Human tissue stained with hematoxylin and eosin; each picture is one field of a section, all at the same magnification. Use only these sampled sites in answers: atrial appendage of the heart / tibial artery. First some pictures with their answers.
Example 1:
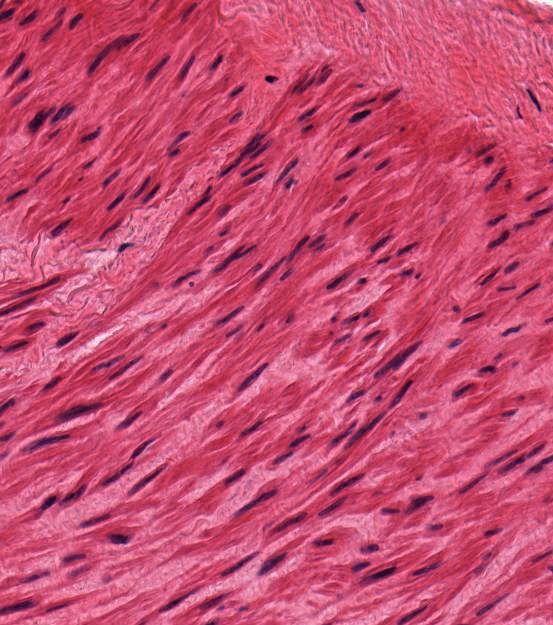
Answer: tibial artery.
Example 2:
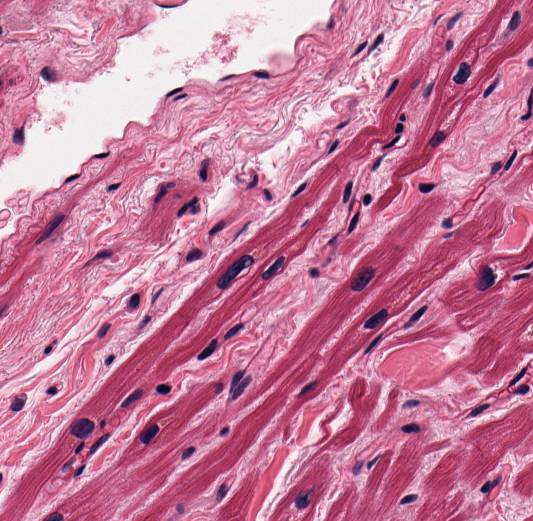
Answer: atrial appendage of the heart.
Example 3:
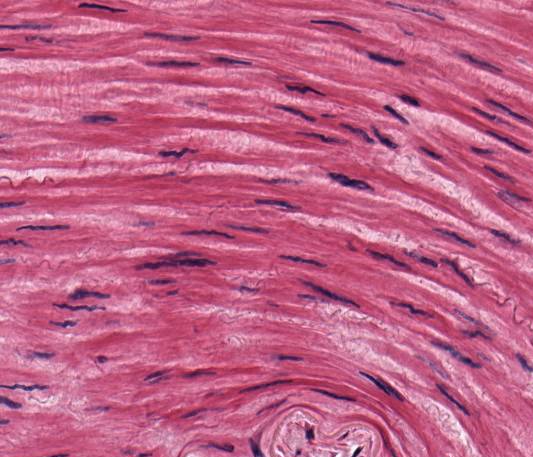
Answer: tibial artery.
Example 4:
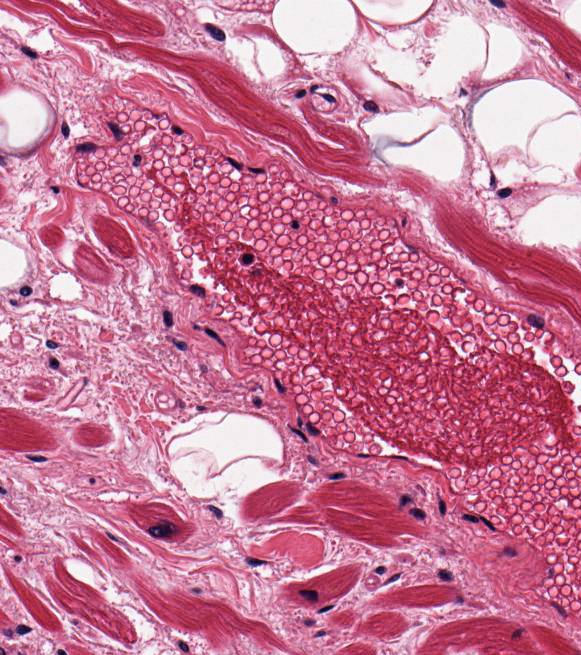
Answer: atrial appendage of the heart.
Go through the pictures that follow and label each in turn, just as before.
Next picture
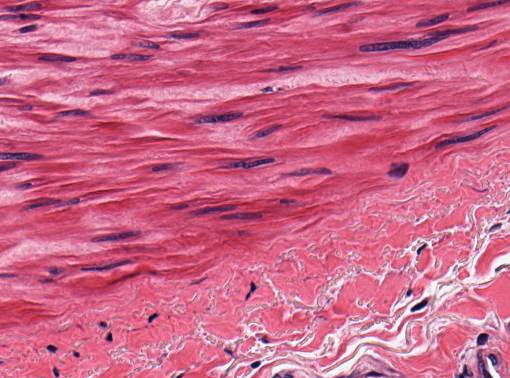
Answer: tibial artery.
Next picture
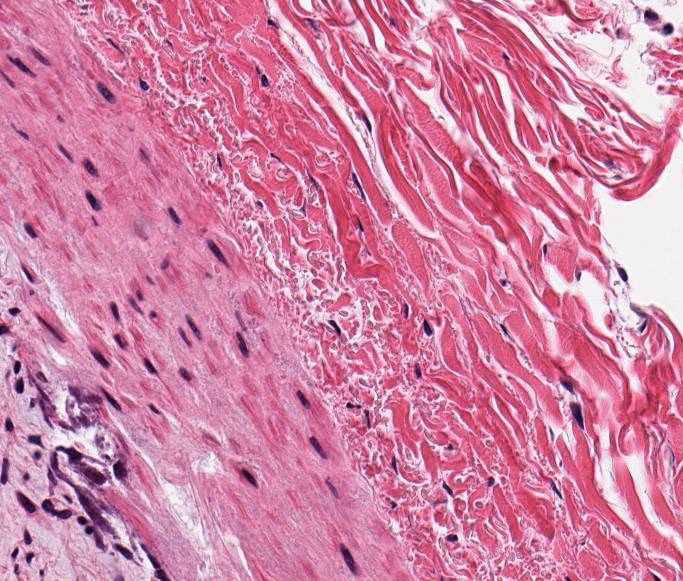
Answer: tibial artery.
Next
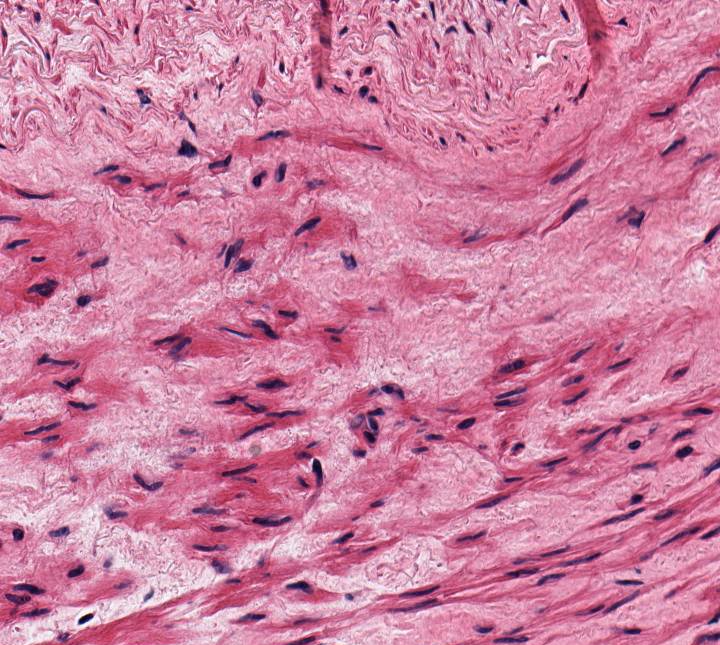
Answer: tibial artery.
